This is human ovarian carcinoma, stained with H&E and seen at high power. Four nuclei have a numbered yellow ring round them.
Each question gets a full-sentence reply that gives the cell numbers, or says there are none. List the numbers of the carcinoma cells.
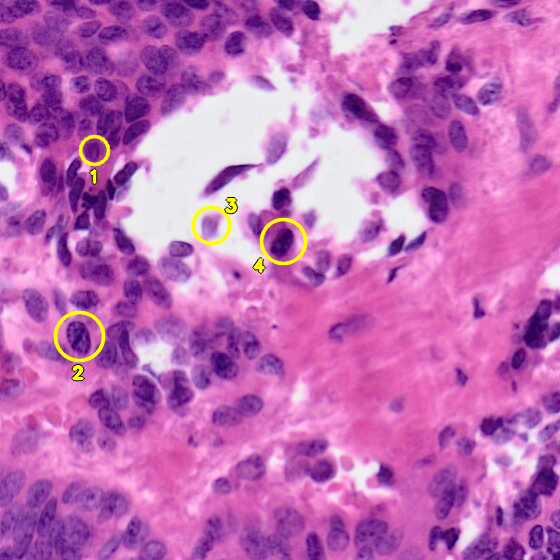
The cells labelled 1, 3 and 4 in this section are carcinoma cells.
